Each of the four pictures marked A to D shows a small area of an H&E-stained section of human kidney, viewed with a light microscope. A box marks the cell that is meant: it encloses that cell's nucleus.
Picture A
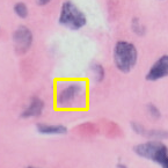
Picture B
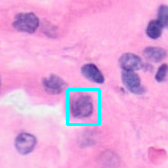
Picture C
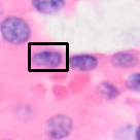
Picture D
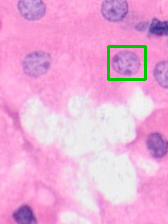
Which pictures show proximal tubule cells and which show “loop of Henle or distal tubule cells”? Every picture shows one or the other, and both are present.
A: loop of Henle or distal tubule cell
B: loop of Henle or distal tubule cell
C: loop of Henle or distal tubule cell
D: proximal tubule cell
